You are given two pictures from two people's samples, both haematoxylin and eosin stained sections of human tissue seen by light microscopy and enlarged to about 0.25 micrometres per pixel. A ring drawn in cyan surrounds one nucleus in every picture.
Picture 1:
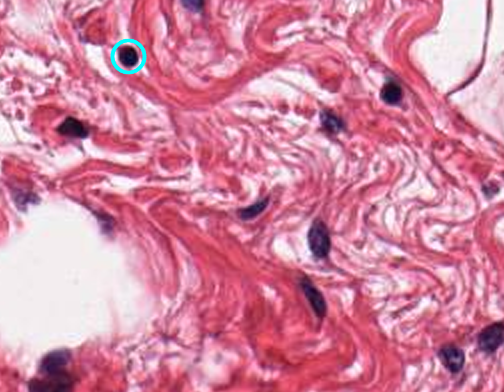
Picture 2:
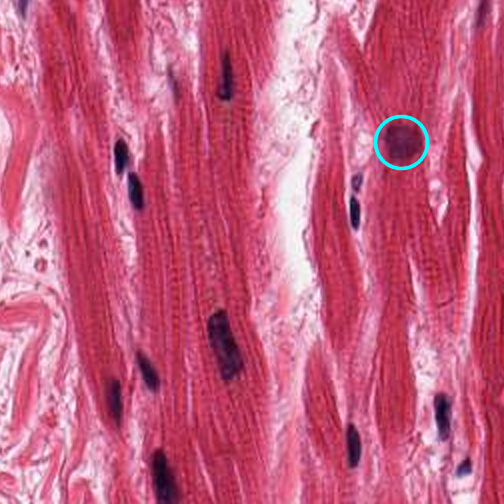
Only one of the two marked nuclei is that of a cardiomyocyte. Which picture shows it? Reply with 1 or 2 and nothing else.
2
